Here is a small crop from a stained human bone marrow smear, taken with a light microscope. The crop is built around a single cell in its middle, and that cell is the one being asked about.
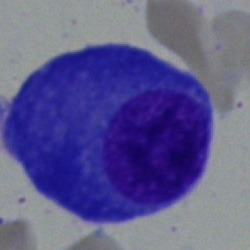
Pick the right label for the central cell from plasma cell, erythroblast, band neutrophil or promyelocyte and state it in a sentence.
The cell in the middle of this crop is a plasma cell.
